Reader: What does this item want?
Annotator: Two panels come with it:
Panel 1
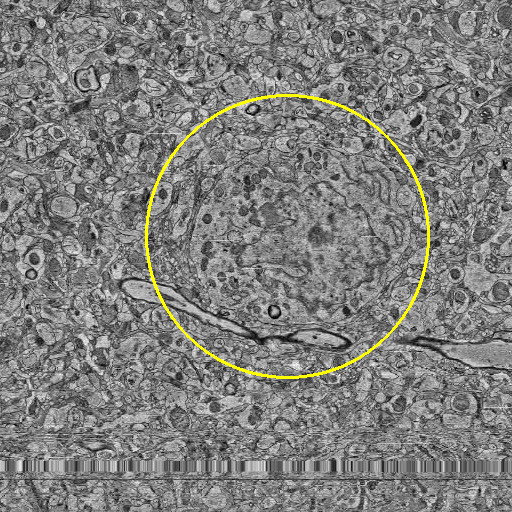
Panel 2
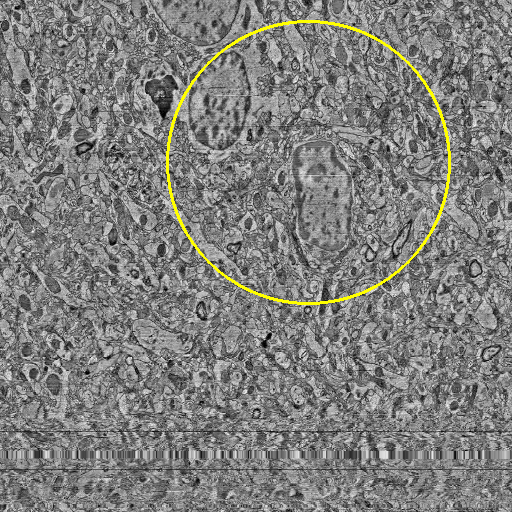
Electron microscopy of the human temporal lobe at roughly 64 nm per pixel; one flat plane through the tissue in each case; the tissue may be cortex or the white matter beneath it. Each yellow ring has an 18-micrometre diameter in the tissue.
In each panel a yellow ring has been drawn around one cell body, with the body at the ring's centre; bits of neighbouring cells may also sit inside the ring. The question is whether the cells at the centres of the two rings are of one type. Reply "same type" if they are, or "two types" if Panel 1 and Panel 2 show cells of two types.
two types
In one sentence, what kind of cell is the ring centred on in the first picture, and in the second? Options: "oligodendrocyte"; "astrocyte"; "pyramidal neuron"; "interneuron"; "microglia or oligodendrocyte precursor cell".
The cell at the centre of the second ring is a microglial cell or oligodendrocyte precursor cell; the first ring's cell is an interneuron.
